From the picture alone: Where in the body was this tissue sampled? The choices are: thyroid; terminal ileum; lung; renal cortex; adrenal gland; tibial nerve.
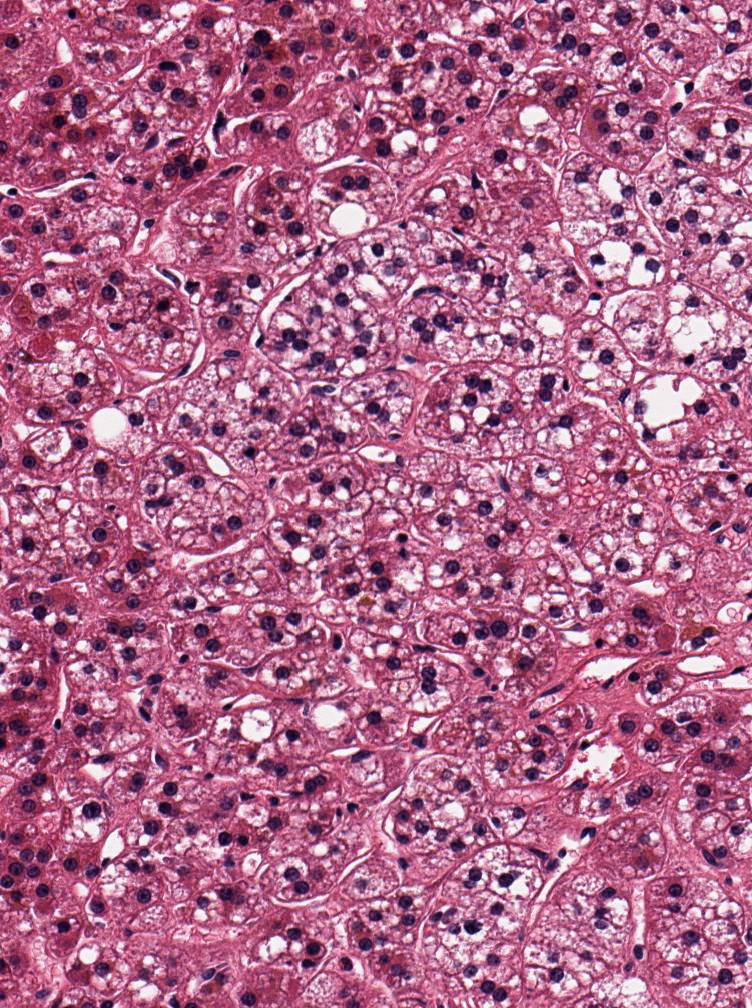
adrenal gland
